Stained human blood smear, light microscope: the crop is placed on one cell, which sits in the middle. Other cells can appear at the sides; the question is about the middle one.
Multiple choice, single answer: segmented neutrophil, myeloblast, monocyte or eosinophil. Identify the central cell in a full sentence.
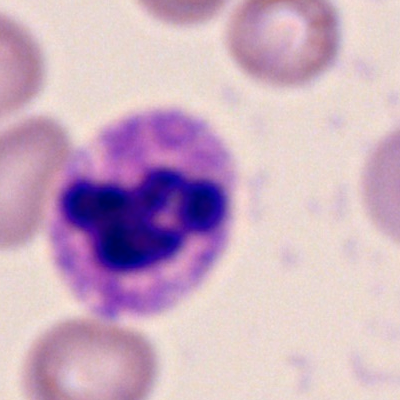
By classification, the middle cell of this crop is a segmented neutrophil.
